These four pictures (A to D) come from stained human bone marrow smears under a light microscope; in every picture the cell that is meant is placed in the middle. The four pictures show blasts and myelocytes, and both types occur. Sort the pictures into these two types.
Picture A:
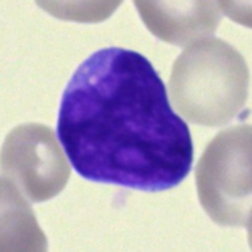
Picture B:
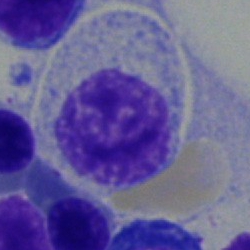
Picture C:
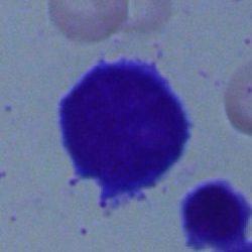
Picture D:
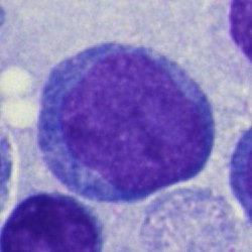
A: blast
B: myelocyte
C: blast
D: blast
